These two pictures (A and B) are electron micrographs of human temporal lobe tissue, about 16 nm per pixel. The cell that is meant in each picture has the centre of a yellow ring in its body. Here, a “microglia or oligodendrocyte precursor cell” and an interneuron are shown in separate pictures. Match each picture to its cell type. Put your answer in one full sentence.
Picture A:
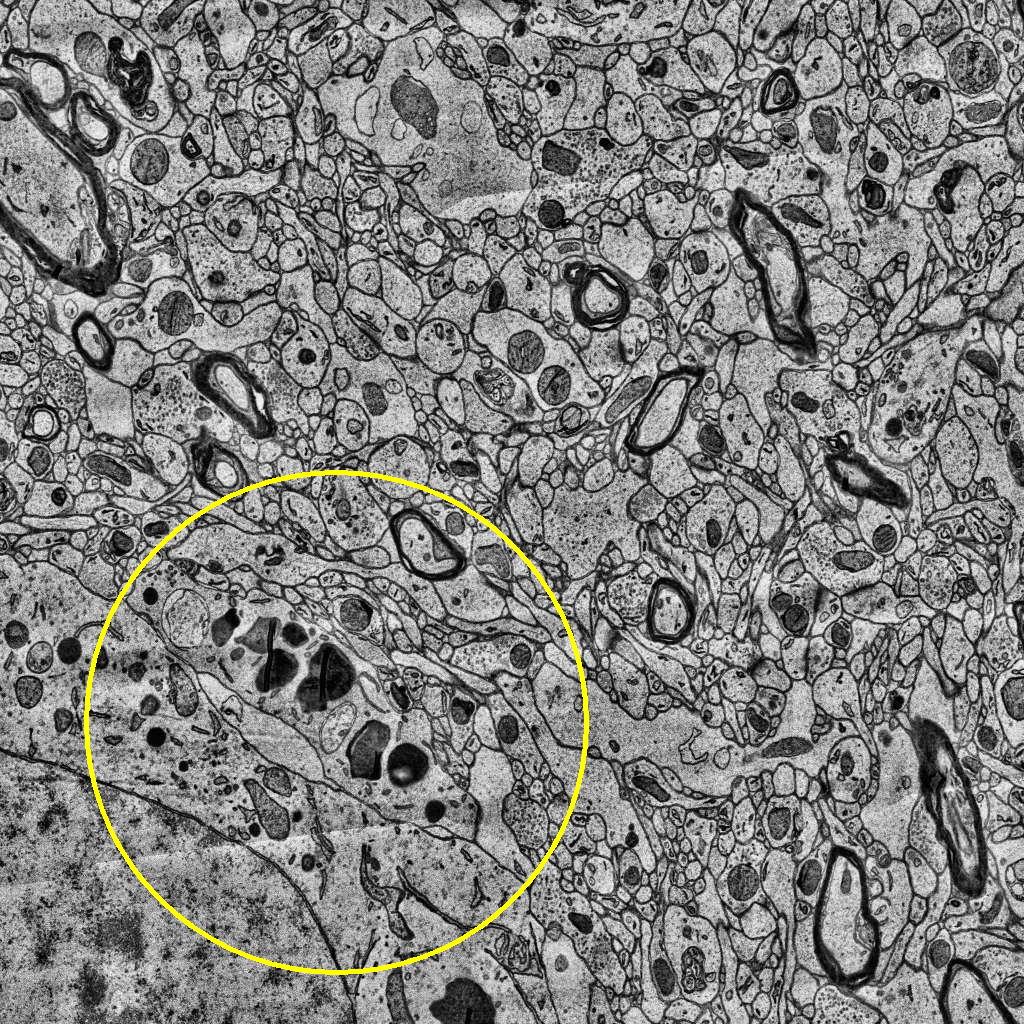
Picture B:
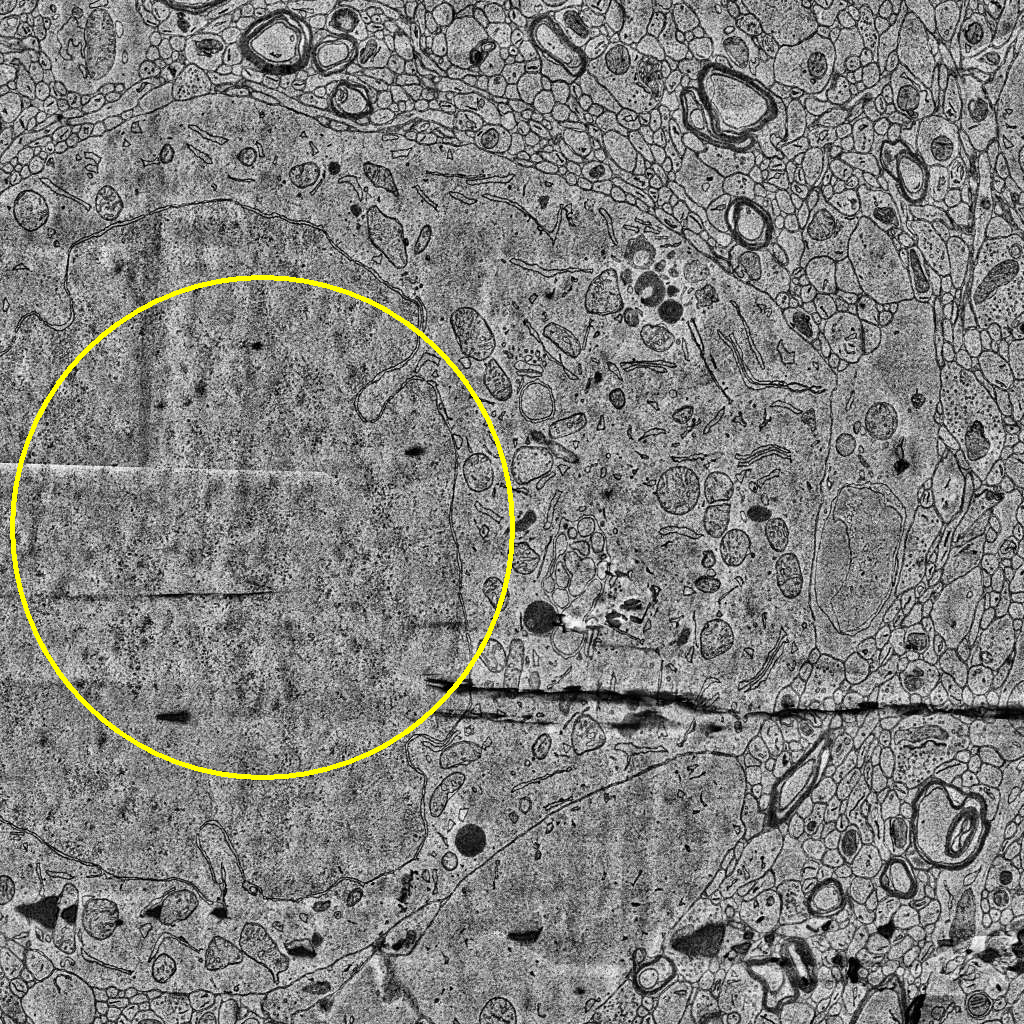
Picture B shows an interneuron, while picture A shows a “microglia or oligodendrocyte precursor cell”.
